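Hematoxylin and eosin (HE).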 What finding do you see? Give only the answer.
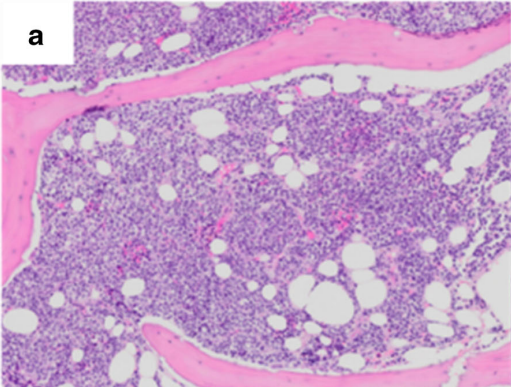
Sheet-like proliferation of monomorphic cells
